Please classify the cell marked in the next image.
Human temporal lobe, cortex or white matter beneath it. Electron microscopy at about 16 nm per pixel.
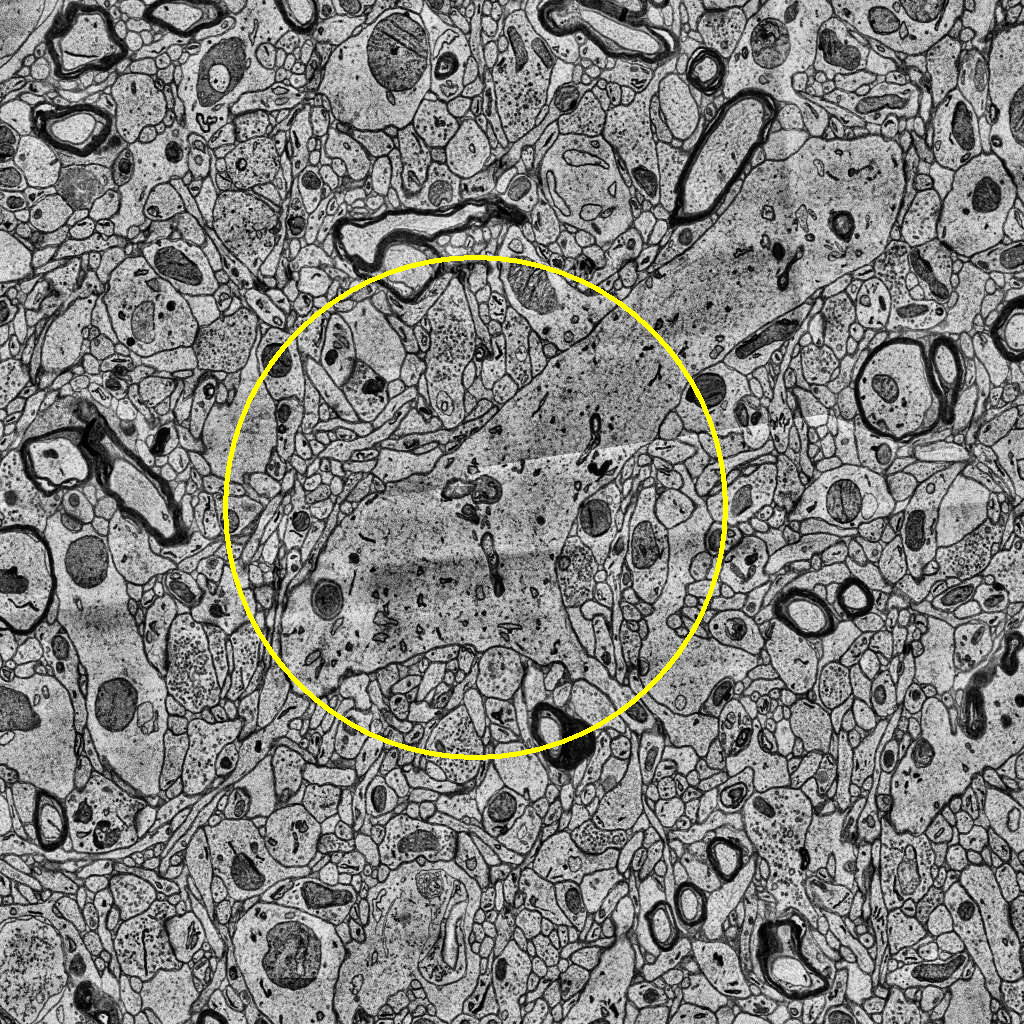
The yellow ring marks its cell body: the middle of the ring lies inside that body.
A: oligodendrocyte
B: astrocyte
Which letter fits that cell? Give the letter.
A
